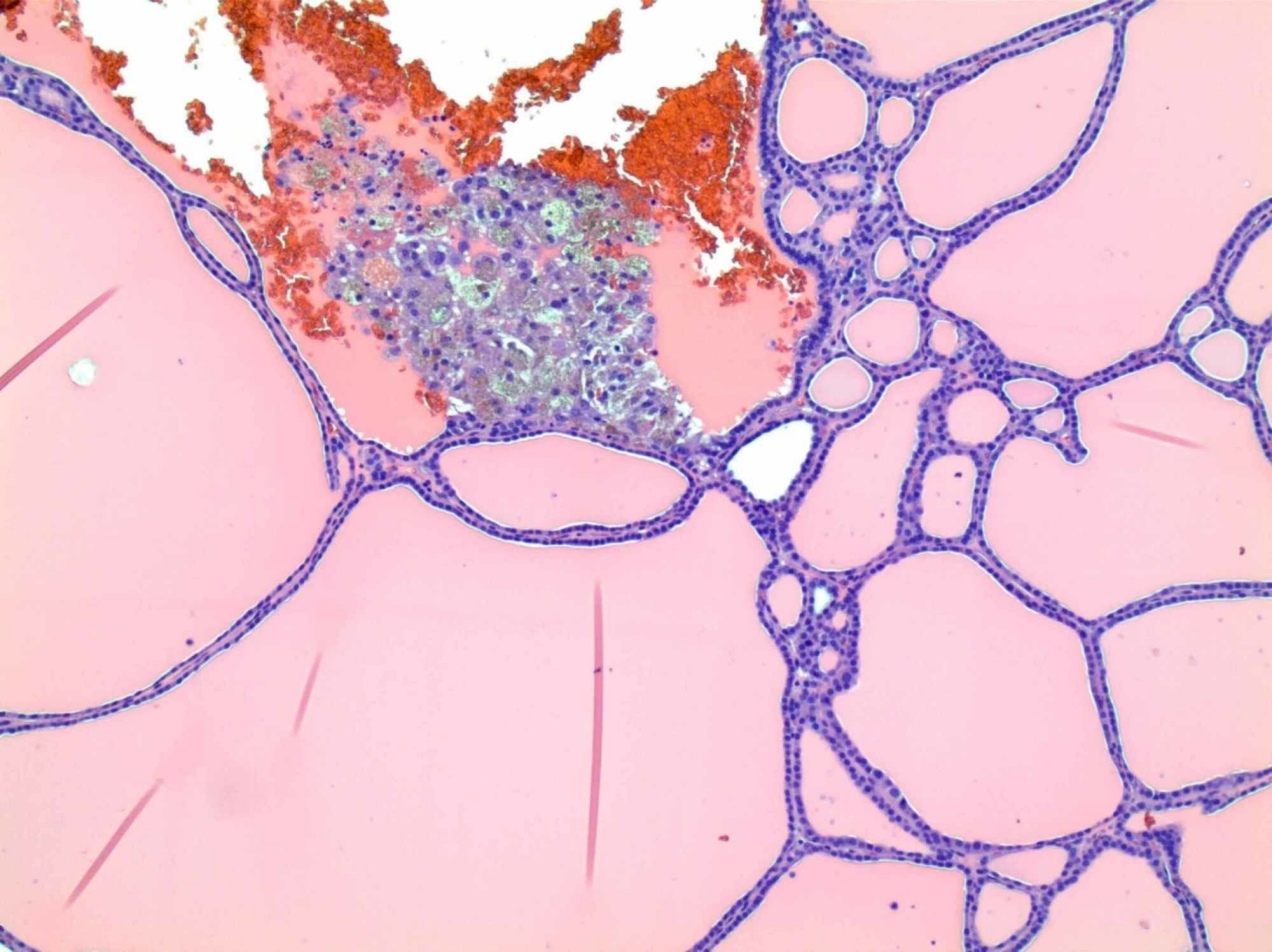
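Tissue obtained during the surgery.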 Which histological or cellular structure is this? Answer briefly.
thyroid follicles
